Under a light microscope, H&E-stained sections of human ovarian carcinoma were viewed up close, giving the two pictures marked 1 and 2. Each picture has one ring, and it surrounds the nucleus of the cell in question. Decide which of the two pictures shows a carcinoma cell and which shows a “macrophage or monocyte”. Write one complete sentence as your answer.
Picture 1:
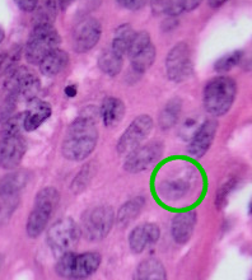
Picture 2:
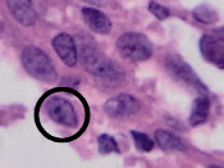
It is picture 1 that shows a carcinoma cell, and picture 2 that shows a “macrophage or monocyte”.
